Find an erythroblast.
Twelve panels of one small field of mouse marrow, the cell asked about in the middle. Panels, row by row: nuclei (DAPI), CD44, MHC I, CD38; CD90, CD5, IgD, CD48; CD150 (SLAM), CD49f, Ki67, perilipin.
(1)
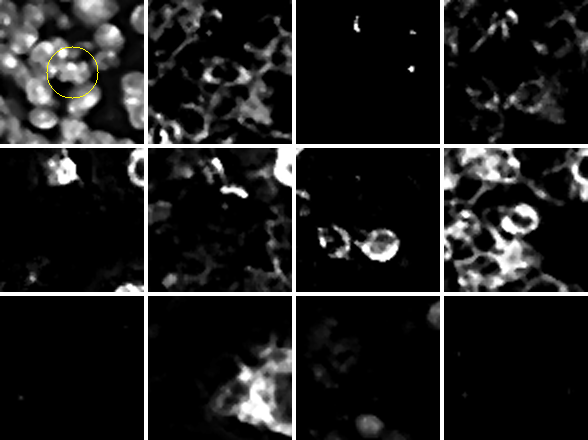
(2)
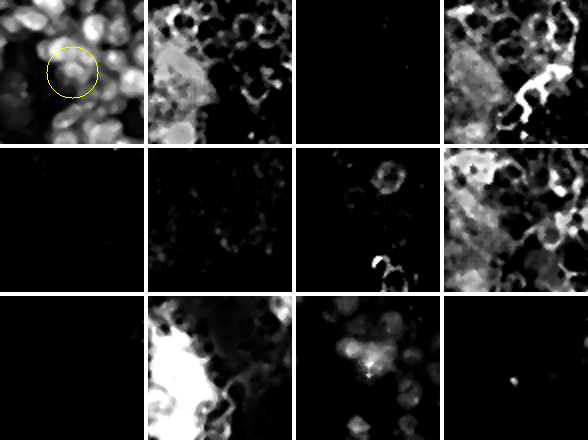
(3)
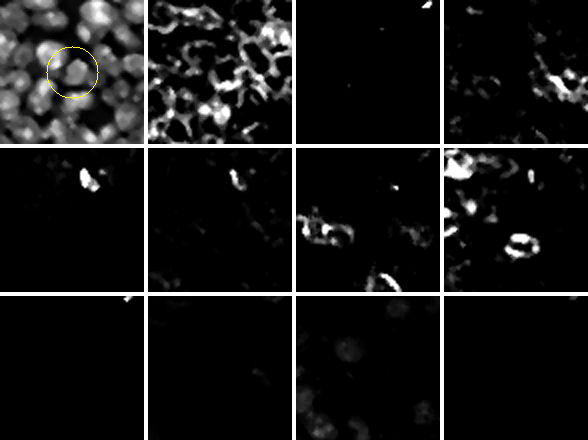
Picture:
2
